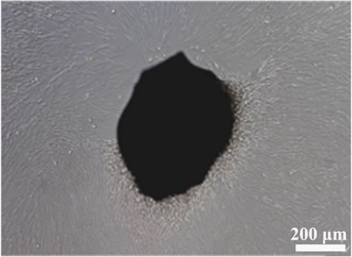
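A dark, opaque fragment of tissue lies in the middle of a culture dish, and long spindle-shaped cells grow out from all around its edge. The outgrowing cells are thin and elongated, crowded near the fragment and spreading outward in streams to cover the surrounding field.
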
